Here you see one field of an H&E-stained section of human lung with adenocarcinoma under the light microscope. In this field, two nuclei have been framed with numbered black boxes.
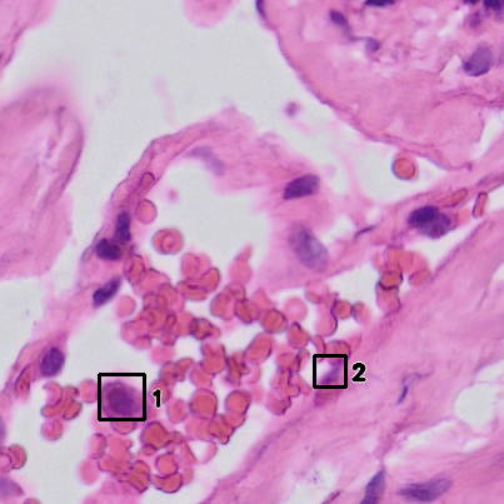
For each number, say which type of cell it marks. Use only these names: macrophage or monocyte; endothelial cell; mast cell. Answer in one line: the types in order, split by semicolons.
macrophage or monocyte; endothelial cell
